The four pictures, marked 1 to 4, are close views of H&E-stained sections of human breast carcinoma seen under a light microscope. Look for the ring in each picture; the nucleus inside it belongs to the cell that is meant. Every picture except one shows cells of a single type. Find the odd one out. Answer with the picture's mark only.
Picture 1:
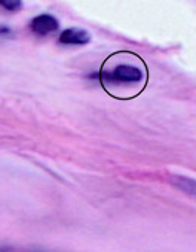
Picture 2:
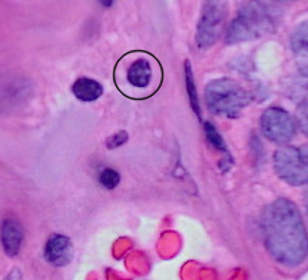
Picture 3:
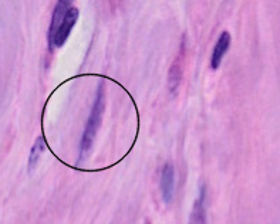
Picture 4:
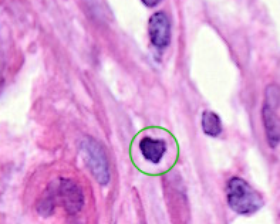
3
